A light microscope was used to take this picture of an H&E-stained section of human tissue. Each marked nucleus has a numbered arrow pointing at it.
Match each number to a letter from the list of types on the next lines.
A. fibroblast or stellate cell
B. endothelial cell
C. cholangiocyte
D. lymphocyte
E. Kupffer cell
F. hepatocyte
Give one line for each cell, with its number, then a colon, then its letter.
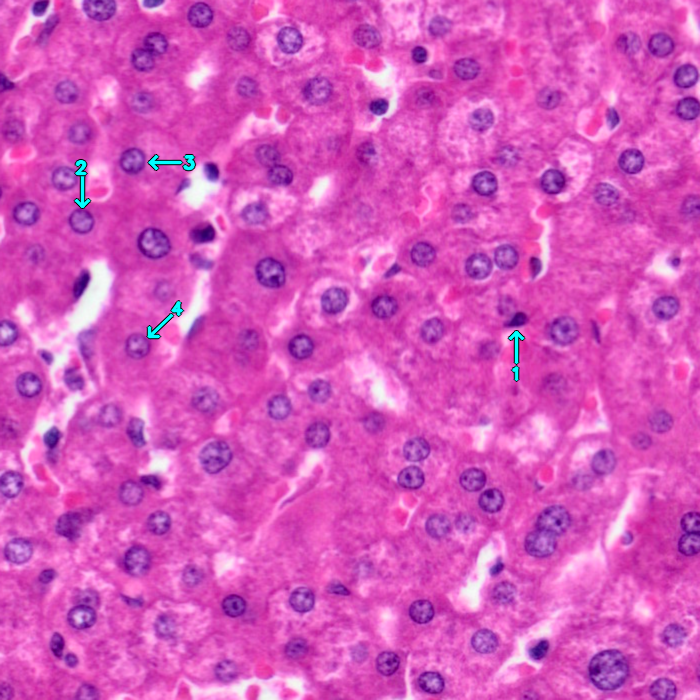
1: A
2: F
3: F
4: F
